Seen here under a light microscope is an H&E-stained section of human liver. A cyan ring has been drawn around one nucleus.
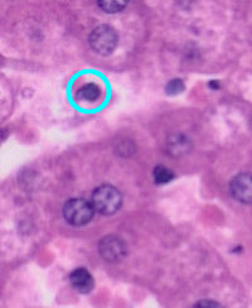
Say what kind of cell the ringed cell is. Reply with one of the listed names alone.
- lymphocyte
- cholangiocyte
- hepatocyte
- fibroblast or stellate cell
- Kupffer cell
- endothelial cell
lymphocyte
